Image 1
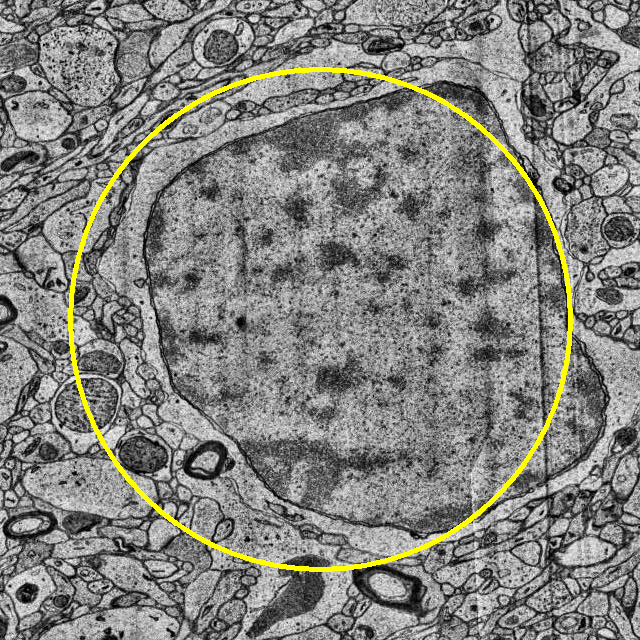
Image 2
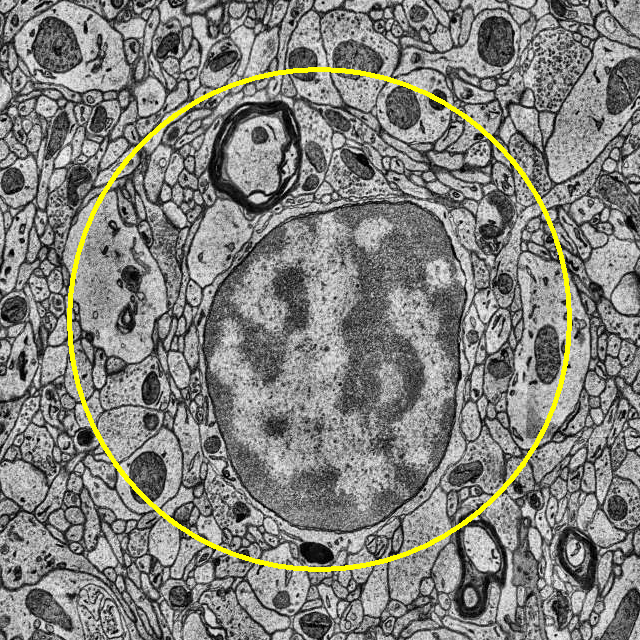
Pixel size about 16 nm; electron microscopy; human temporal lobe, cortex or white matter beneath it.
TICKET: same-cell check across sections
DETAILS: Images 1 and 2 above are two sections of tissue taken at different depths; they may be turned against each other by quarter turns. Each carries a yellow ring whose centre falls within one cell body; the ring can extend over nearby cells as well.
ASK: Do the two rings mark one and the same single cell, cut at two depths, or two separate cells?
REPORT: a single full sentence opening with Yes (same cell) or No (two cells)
No, two distinct cells are each enclosed by a yellow ring.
